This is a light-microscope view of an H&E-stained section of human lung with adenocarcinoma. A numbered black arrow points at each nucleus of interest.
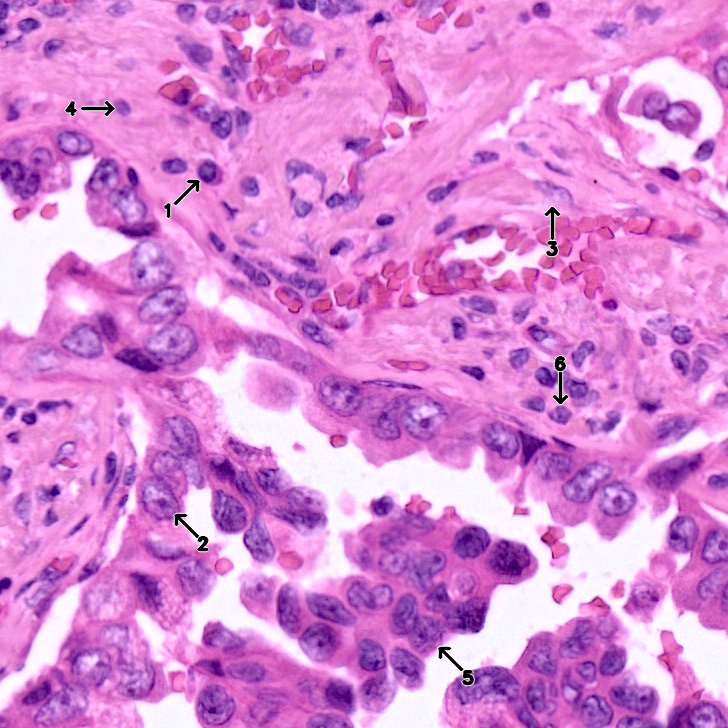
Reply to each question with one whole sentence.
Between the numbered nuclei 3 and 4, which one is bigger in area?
The larger nucleus is 3, at roughly 3 times the area of 4.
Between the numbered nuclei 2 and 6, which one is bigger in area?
Number 2 is larger; its area is about 4 times that of number 6.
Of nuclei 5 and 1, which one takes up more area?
Nucleus 5 is the larger one, covering about 3 times the area of nucleus 1.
